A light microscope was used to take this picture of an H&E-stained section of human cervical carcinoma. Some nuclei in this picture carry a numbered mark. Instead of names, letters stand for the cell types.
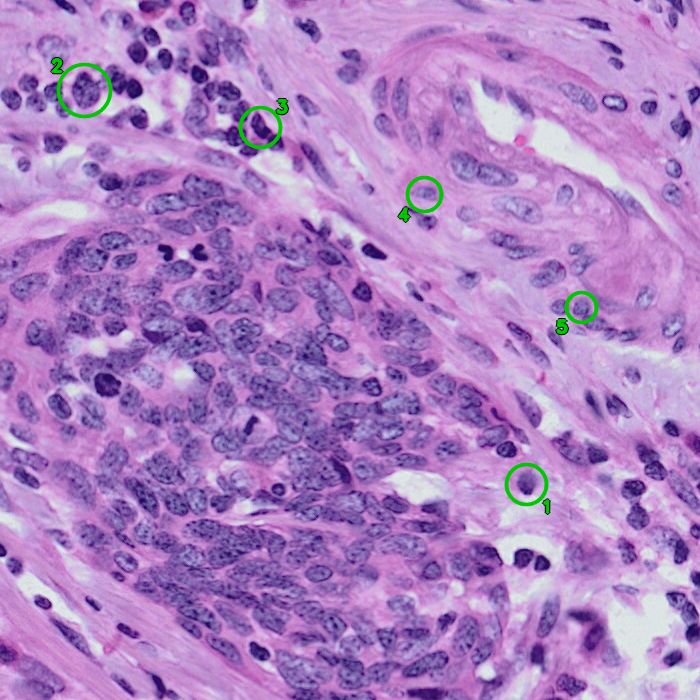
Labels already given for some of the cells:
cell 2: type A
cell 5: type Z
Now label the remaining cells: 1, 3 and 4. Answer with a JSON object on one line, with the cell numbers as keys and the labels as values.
{"1": "type A", "3": "type A", "4": "type Z"}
